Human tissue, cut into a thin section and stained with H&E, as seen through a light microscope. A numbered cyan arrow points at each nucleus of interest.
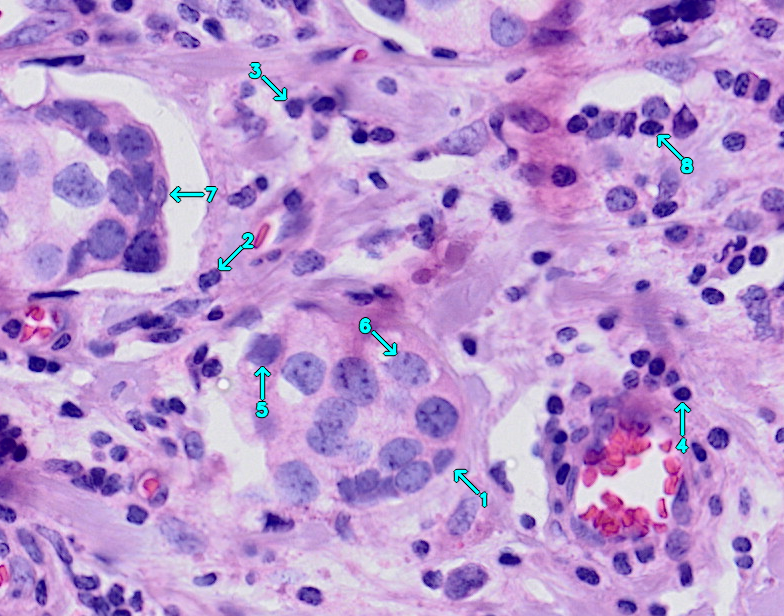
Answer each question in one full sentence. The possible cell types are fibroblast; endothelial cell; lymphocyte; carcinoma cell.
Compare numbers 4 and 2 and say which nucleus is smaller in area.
The smaller nucleus is 4, and 2 covers roughly 1.5 times its area.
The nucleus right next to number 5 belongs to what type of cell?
The nucleus nearest to number 5 is that of a fibroblast.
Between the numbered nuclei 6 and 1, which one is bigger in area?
Nucleus 6 covers more area, about 2.5 times as much as nucleus 1.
